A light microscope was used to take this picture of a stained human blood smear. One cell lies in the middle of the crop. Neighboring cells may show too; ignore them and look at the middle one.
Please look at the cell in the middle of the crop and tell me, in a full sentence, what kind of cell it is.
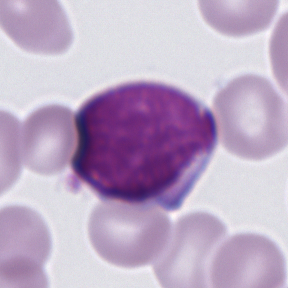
The center cell of this crop is a large granular lymphocyte.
